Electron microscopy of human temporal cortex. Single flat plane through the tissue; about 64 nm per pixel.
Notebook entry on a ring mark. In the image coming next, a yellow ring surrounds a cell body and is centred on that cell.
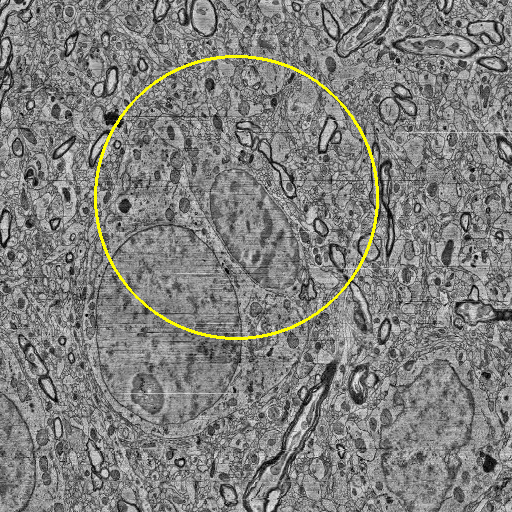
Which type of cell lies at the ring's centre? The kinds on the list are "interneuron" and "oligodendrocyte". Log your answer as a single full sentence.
Centred in the yellow ring is an oligodendrocyte, the cell recorded for this image.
